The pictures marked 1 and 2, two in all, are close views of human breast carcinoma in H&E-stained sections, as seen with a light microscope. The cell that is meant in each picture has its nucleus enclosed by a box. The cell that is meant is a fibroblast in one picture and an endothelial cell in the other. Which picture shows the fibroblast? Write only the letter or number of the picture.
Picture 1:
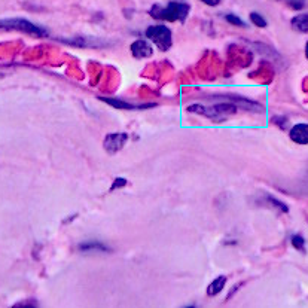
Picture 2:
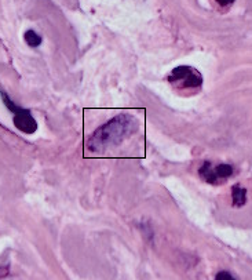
2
